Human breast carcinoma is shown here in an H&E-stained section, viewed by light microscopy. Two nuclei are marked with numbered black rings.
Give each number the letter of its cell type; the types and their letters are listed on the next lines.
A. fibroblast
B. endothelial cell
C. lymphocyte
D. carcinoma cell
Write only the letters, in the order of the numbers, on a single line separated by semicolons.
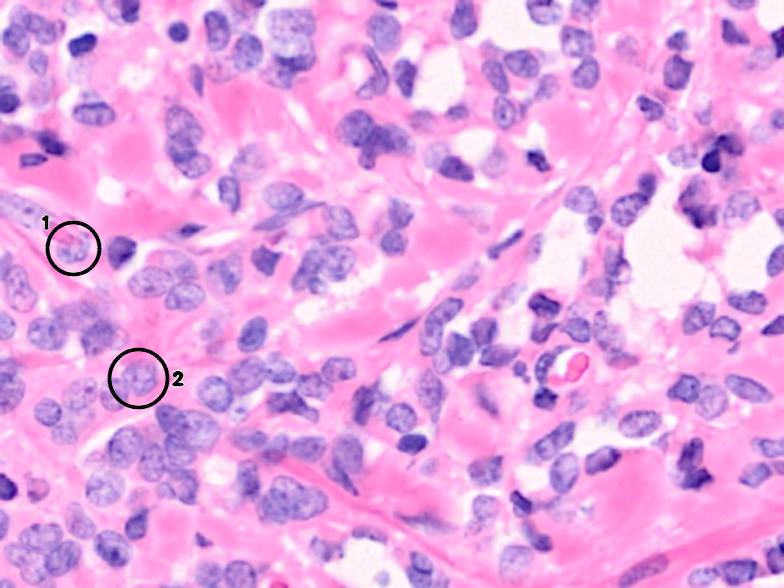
B; D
